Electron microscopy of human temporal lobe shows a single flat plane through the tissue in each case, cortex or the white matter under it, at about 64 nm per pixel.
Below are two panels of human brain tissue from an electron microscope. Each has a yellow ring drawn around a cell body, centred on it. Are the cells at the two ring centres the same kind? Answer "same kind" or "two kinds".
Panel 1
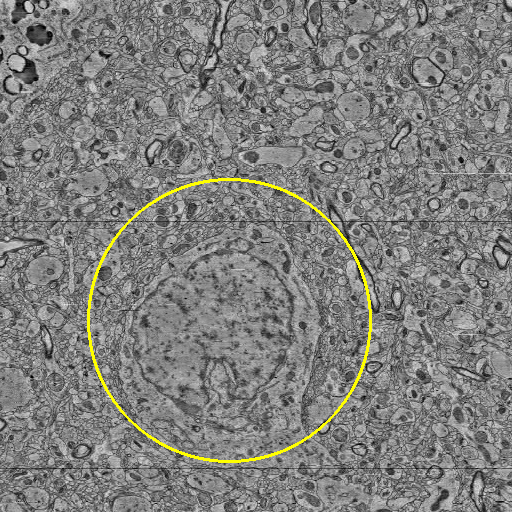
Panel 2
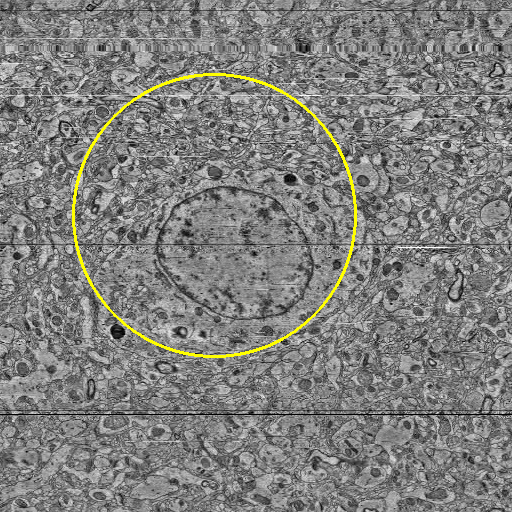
two kinds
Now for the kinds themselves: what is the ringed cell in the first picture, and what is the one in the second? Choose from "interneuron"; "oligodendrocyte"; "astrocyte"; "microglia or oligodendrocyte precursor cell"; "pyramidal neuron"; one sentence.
Here the first cell is an interneuron and the second cell is a pyramidal neuron.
